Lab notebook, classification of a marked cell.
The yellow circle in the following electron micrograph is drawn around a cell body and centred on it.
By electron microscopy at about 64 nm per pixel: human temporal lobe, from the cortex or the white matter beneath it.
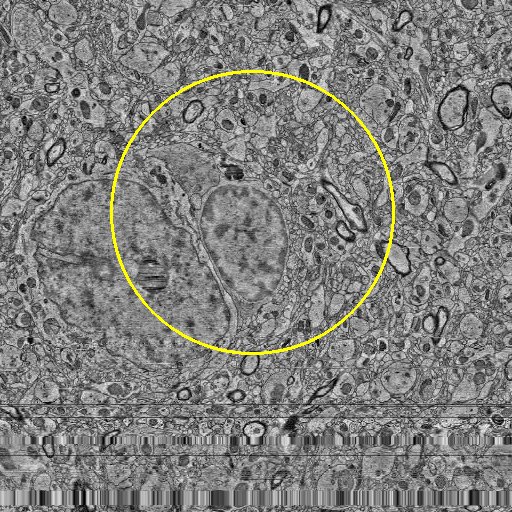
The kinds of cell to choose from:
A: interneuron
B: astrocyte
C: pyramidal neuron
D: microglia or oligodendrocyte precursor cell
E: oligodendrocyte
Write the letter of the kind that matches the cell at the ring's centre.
E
